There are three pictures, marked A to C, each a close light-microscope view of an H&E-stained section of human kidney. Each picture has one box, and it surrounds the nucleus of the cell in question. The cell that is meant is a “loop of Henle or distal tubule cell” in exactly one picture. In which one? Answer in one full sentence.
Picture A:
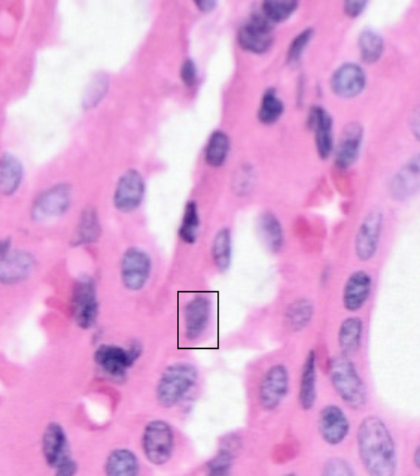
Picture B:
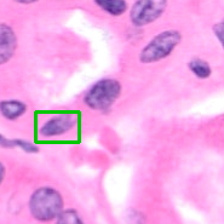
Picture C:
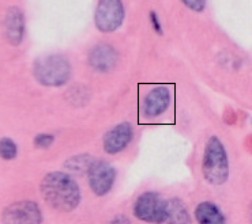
Picture A shows the “loop of Henle or distal tubule cell”.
